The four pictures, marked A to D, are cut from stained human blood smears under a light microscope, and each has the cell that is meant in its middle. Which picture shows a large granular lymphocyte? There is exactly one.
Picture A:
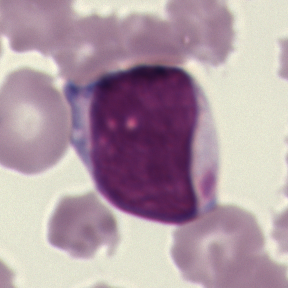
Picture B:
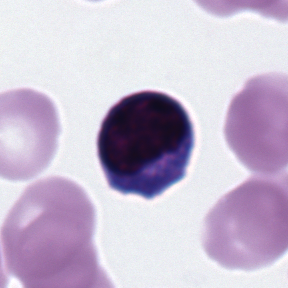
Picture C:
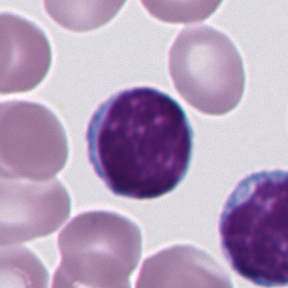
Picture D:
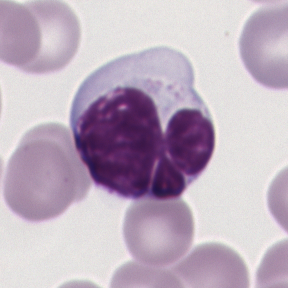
D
